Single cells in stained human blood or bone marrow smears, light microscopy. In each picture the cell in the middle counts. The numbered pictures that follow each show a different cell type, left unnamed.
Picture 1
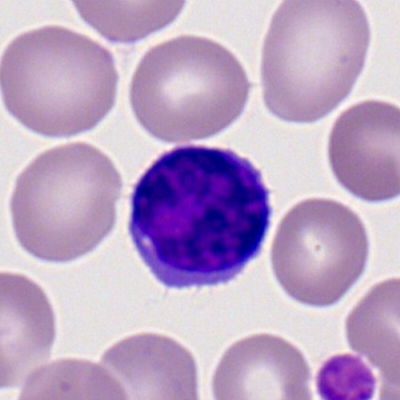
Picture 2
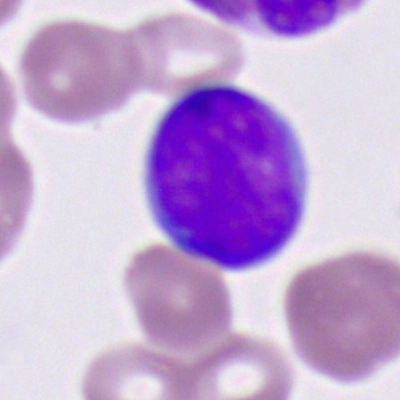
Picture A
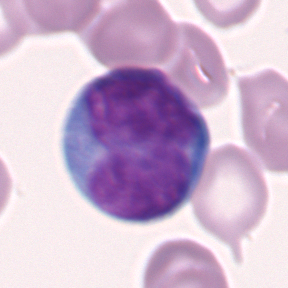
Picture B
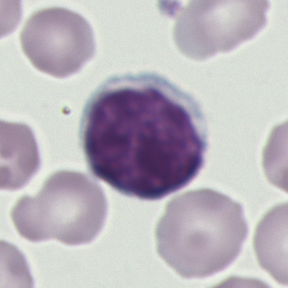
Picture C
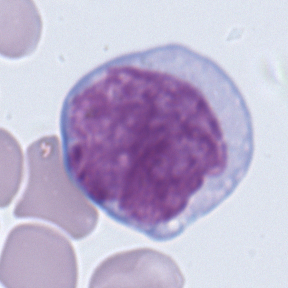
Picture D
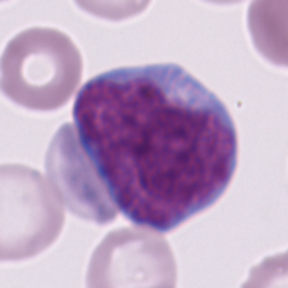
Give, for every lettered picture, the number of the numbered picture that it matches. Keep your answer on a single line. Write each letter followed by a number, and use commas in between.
A 2, B 1, C 2, D 2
